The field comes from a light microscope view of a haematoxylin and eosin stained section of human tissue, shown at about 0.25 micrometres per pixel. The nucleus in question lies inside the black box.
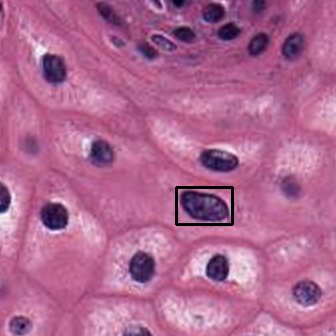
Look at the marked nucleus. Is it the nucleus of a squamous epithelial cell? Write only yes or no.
yes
